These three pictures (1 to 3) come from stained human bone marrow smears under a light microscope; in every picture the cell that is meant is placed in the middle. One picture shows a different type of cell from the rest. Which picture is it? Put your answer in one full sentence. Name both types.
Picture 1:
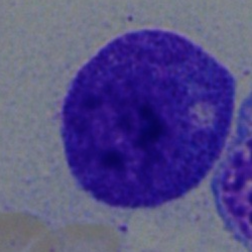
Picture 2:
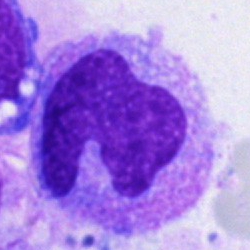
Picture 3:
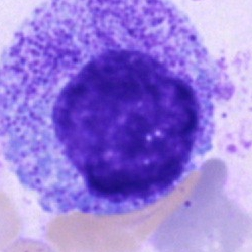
Unlike the rest, which show promyelocytes, picture 2 shows a monocyte.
